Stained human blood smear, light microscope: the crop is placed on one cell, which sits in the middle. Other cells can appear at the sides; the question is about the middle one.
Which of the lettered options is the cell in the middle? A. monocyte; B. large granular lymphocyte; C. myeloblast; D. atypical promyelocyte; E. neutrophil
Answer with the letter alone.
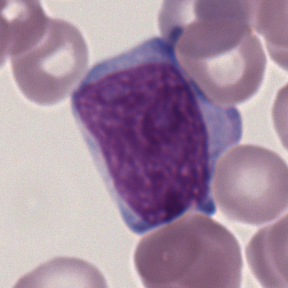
C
